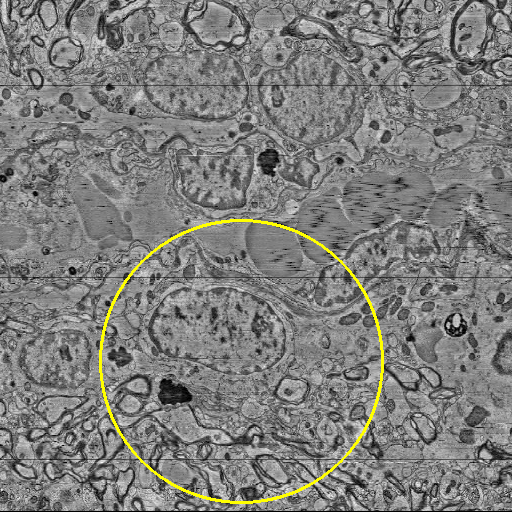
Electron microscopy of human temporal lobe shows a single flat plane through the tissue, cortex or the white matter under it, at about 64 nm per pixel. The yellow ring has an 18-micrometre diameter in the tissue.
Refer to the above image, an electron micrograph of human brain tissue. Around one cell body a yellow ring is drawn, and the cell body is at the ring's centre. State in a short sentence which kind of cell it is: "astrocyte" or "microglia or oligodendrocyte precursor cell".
The centre of the ring falls on a microglial cell or oligodendrocyte precursor cell.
